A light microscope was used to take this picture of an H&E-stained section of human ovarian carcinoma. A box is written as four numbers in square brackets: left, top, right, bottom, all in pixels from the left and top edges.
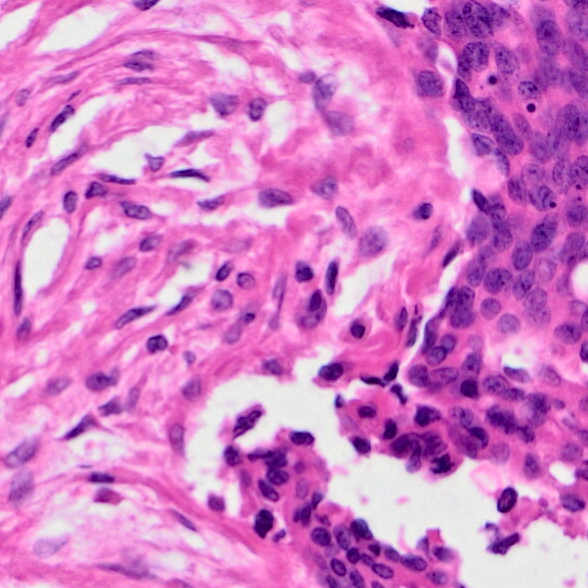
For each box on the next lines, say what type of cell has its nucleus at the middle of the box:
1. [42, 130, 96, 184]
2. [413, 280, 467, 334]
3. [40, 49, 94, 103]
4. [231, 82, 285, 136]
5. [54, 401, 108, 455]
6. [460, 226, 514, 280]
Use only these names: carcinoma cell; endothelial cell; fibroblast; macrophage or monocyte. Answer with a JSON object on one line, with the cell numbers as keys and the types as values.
{"1": "fibroblast", "2": "carcinoma cell", "3": "fibroblast", "4": "fibroblast", "5": "fibroblast", "6": "carcinoma cell"}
